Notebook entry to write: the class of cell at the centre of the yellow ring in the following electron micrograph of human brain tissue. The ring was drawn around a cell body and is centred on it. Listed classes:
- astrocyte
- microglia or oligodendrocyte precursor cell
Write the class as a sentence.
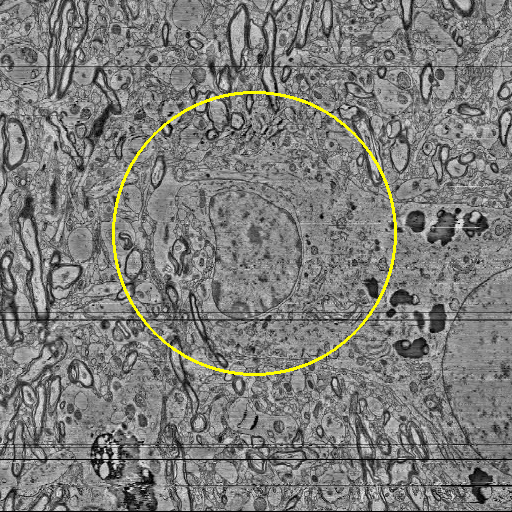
The yellow ring sits on a microglial cell or oligodendrocyte precursor cell.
